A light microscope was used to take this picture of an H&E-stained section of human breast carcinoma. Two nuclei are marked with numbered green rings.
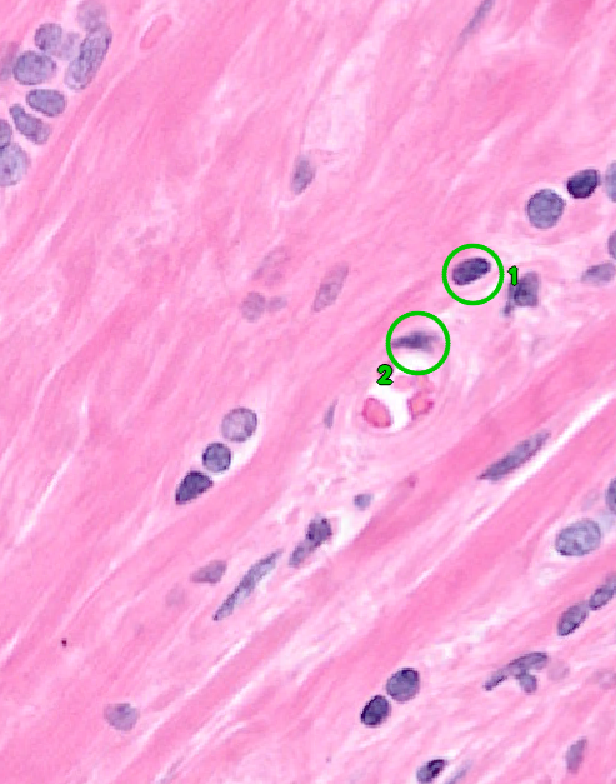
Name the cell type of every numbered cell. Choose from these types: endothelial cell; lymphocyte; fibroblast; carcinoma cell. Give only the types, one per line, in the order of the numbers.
lymphocyte
endothelial cell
